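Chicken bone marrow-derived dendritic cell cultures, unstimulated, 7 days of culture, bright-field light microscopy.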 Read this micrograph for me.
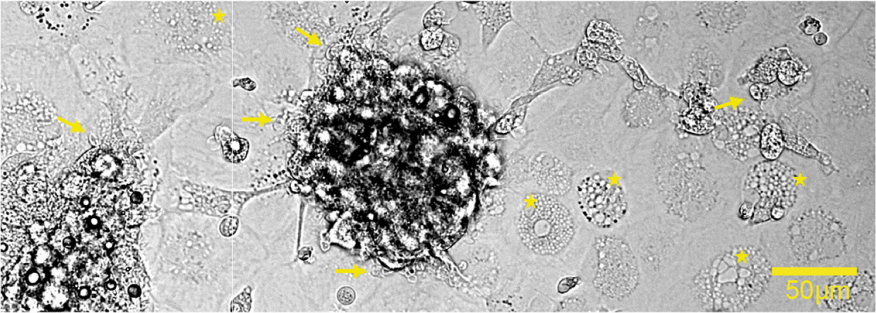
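The cluster is a dark, compact, roughly spherical mass of tightly packed, granular cells. At its margins and along a chain of cells leading away from it, cells extend thin veil-like protrusions. Scattered across the background lie large, flat, rounded cells whose cytoplasm is filled with many small granules or vacuoles and which have no projections. Small round cells are also dispersed between them.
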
